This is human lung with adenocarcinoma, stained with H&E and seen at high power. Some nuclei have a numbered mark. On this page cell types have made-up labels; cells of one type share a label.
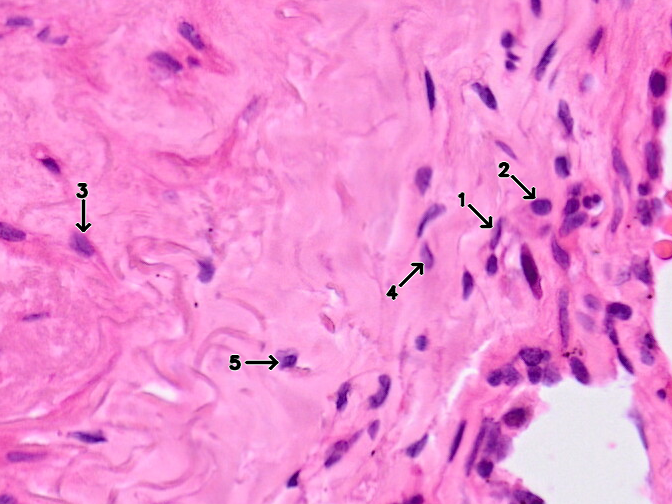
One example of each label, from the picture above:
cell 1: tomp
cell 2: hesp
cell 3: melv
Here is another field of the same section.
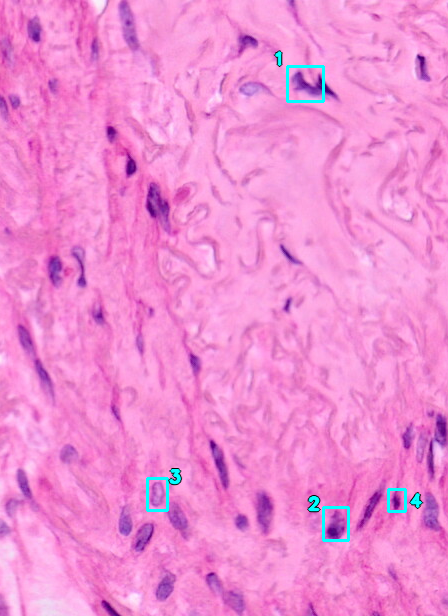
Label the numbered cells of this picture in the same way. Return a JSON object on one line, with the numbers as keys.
{"1": "tomp", "2": "melv", "3": "melv", "4": "melv"}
